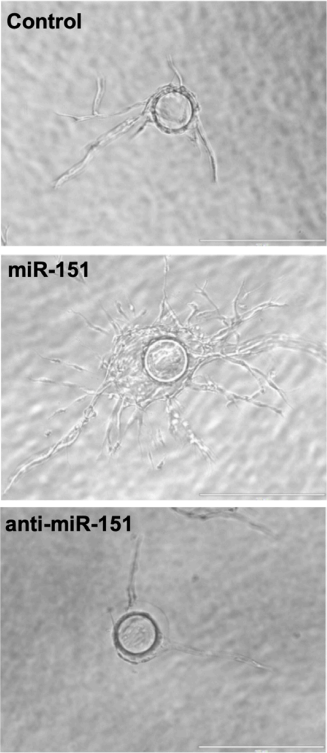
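Thin strands of cells grow out from its surface into the surrounding gel. These are the sprouts. They are long and narrow, and some of them branch. In the middle image, many sprouts radiate in all directions, forming a dense, tangled halo of cells around the bead. The upper image shows only a few sprouts. The lower image shows just two or three slender sprouts. The gel in the background has a faint wavy texture.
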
